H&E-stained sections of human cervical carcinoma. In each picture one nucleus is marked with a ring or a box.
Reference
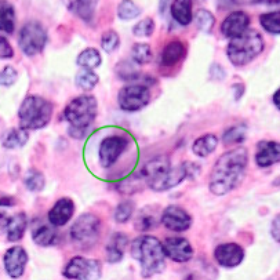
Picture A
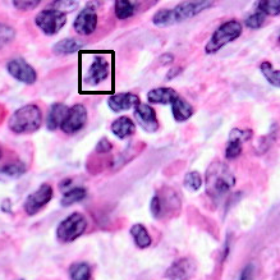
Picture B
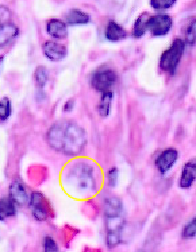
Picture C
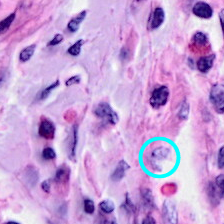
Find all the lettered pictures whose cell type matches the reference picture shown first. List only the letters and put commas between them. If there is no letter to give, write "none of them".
A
